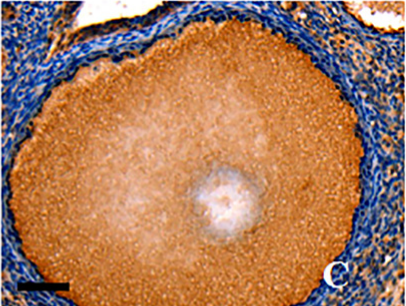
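A large developing follicle fills most of the field. Its oocyte is round with finely granular cytoplasm stained brown throughout, somewhat darker toward the periphery, and a pale whitish region near the centre. The oocyte is bordered by a thin rim of flattened follicle cells with blue nuclei, arranged in a few layers, and beyond that by surrounding stromal tissue with elongated blue nuclei.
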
